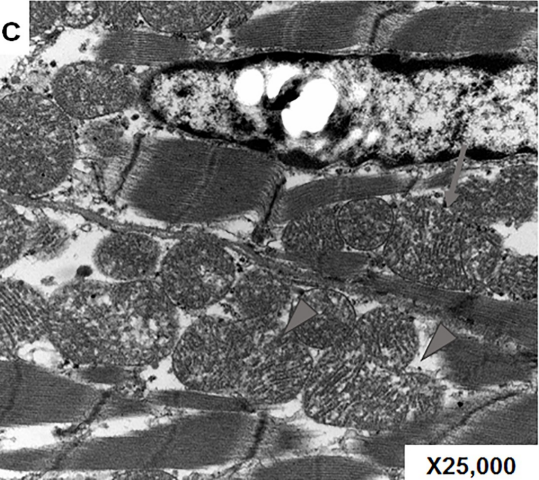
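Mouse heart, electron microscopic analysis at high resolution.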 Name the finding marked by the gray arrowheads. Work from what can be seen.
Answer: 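The arrowheads point at mitochondria with clefts or splits running into them. So: fissuring of mitochondria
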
